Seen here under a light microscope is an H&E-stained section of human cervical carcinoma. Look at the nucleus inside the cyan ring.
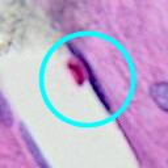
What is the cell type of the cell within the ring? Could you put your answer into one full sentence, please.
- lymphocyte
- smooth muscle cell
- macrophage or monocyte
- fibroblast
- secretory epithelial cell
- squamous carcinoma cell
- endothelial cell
The cell type represented by the cell within the ring is that of an endothelial cell.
